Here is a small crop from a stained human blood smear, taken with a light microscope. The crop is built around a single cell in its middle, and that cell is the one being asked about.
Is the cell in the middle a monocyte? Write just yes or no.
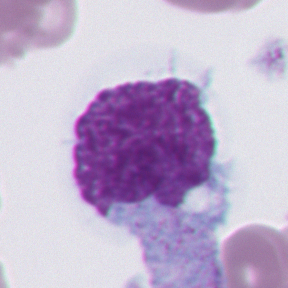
yes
